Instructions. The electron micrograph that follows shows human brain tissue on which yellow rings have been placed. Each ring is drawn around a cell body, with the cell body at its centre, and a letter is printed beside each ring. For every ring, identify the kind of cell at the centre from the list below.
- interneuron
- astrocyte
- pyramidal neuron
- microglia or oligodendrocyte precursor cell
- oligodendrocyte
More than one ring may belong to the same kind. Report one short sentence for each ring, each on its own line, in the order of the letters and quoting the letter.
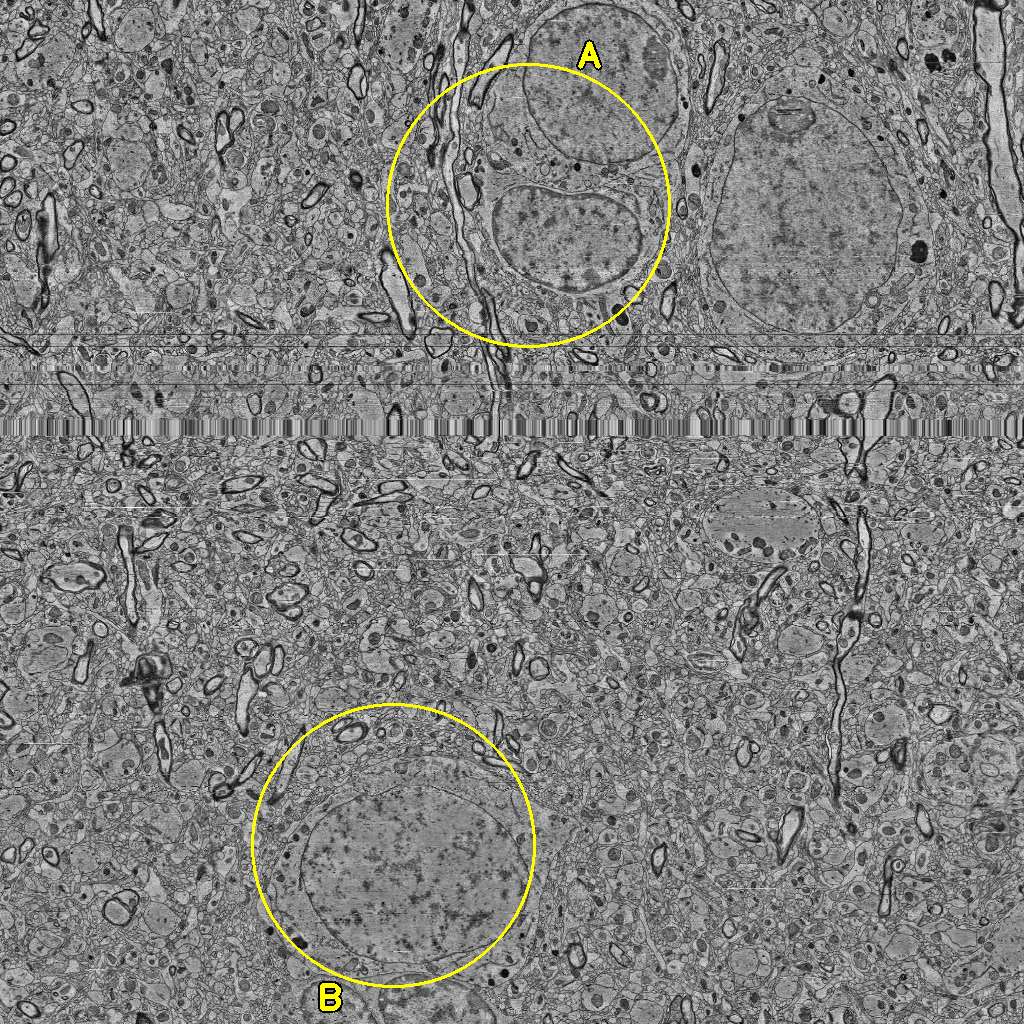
The centre of ring A is occupied by a microglial cell or oligodendrocyte precursor cell.
The centre of ring B is occupied by a pyramidal neuron.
